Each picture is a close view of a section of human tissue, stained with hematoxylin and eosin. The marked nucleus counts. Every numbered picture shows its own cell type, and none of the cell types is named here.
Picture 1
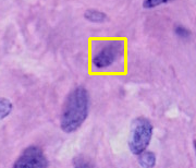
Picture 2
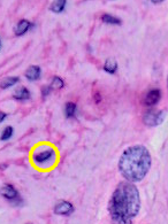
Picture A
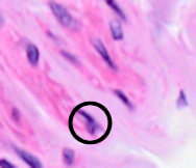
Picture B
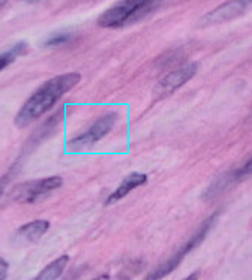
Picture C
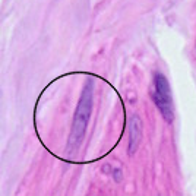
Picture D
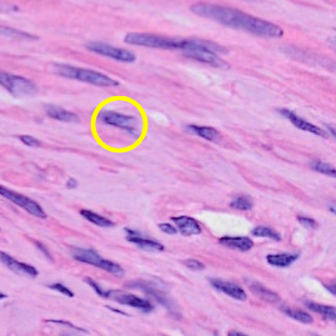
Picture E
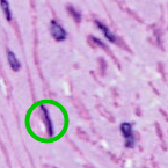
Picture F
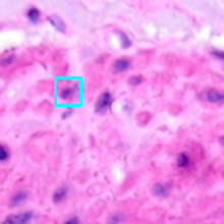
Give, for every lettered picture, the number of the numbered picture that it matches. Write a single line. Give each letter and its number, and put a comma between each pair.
A 2, B 2, C 2, D 2, E 1, F 2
